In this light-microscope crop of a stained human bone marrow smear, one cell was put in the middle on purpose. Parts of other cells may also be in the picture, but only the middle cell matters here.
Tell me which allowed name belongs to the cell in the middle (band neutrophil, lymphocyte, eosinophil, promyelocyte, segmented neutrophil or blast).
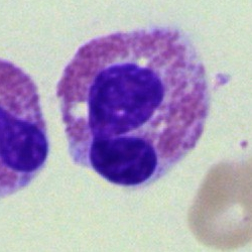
eosinophil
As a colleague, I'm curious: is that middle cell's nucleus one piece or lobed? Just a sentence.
The key feature is a nucleus with multiple lobes.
